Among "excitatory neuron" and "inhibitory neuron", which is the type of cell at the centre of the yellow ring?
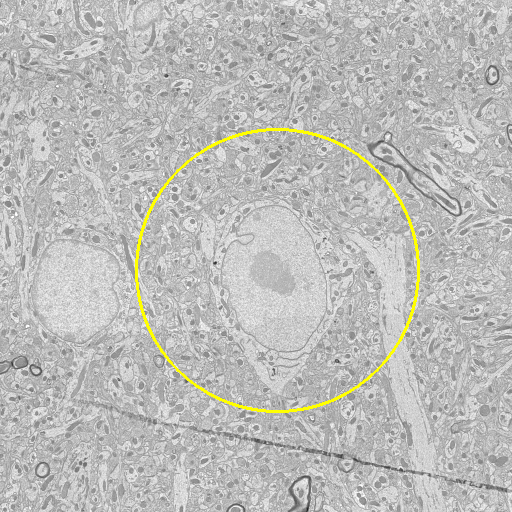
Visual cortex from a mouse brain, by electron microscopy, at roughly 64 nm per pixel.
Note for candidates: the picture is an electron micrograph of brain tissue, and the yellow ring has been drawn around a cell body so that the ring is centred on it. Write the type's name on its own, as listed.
inhibitory neuron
